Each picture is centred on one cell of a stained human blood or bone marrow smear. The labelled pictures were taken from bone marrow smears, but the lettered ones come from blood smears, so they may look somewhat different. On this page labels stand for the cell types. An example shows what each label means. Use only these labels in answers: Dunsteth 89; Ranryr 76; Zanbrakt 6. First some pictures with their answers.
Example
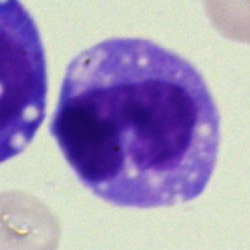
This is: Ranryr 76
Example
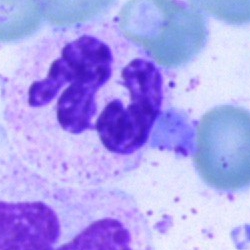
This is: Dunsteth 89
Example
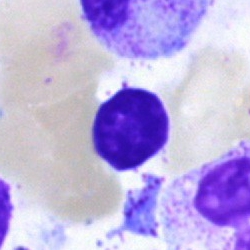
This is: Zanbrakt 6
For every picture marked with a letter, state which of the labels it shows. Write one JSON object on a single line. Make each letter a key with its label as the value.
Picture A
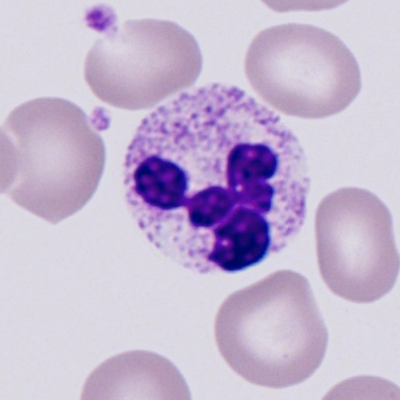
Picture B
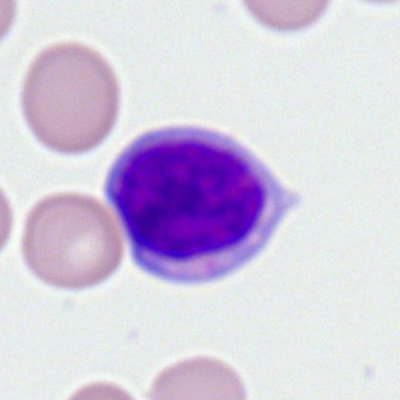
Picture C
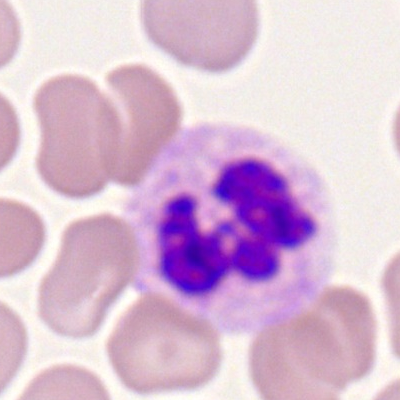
{"A": "Dunsteth 89", "B": "Zanbrakt 6", "C": "Dunsteth 89"}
